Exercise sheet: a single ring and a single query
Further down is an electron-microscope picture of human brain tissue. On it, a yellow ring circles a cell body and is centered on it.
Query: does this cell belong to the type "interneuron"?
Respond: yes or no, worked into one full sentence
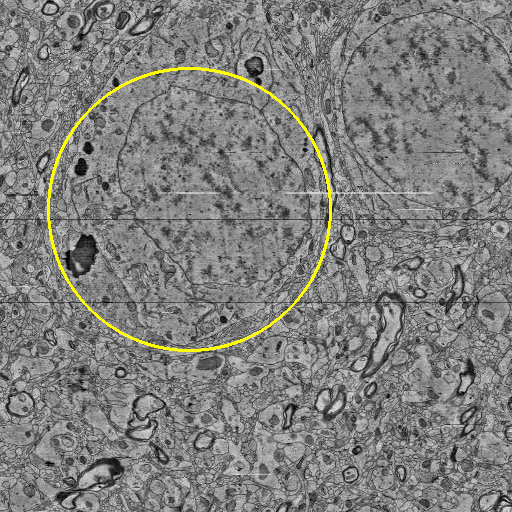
No, this ringed cell, found at the center of the ring in the picture, is of a different type.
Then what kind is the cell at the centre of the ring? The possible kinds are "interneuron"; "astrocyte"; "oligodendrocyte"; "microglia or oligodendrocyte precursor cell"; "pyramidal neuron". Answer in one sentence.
The cell this ring marks is a pyramidal neuron.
